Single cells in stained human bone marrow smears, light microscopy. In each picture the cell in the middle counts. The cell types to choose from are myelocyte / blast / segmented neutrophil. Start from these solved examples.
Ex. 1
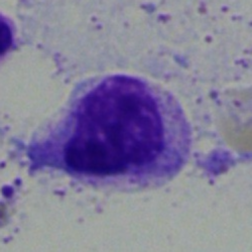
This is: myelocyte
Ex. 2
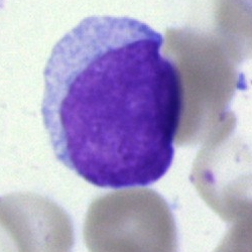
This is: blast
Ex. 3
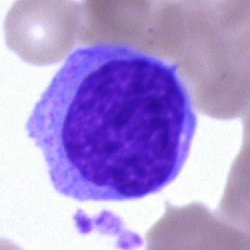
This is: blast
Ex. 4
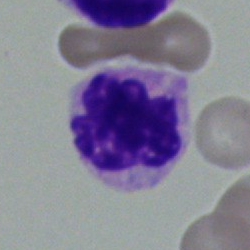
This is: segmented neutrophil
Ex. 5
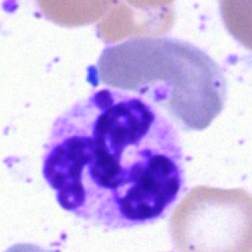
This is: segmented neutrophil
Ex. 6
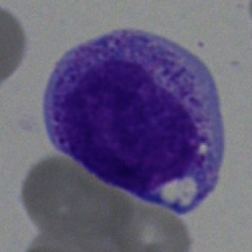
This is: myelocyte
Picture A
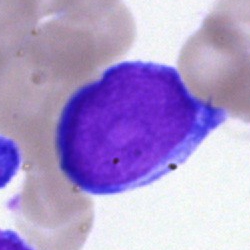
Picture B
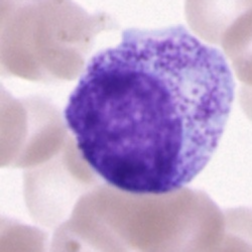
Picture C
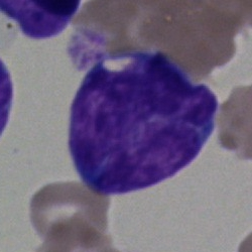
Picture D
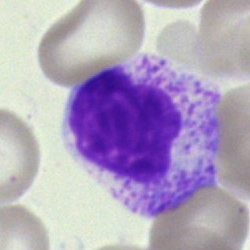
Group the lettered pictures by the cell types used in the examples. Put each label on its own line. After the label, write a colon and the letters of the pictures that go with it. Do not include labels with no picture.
myelocyte: B, D
blast: A, C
